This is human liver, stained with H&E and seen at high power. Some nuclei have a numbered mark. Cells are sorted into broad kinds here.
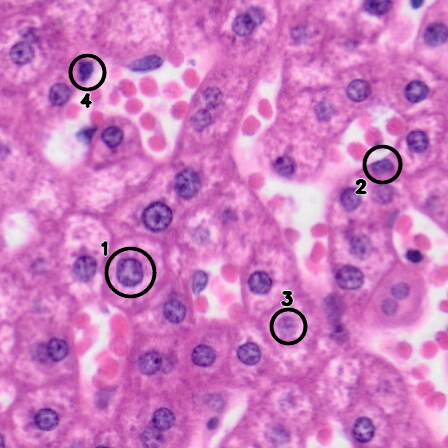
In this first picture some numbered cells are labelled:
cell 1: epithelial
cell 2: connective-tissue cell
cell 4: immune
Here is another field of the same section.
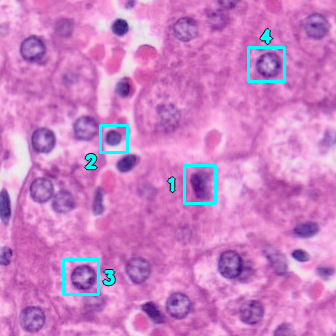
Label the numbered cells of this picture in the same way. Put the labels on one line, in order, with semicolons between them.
connective-tissue cell; immune; epithelial; epithelial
